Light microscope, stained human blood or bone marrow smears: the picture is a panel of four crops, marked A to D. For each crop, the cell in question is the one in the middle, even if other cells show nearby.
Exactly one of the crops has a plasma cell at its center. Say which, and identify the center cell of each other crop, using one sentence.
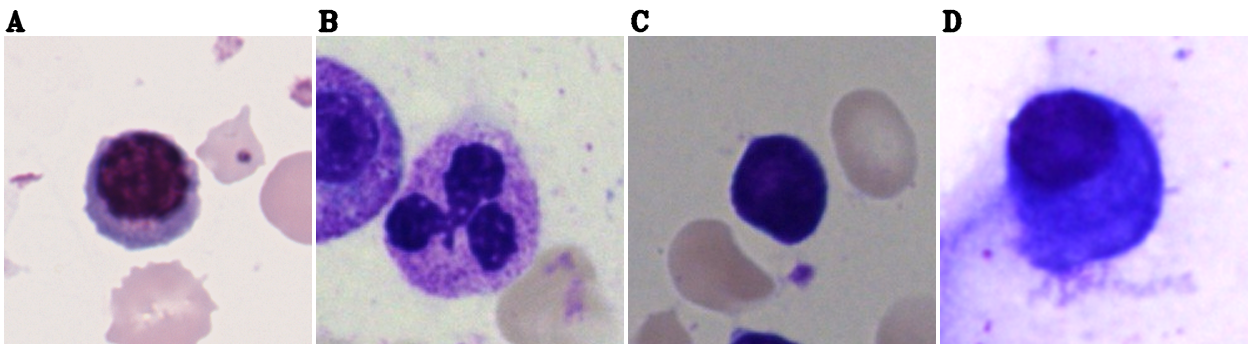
Summary: crop D shows a plasma cell, while crop A is an erythroblast, crop B is a segmented neutrophil and crop C is a lymphocyte.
